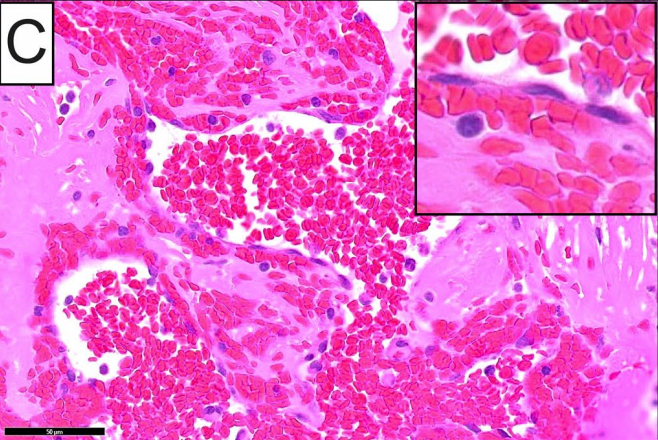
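These are thin-walled vascular spaces packed with red blood cells. Each space is lined by a single layer of flattened endothelial cells with thin, elongated, dark nuclei lying against the pink fibrous wall. In the enlarged view the lining nuclei look bland and uniform, with no mitotic figures.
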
